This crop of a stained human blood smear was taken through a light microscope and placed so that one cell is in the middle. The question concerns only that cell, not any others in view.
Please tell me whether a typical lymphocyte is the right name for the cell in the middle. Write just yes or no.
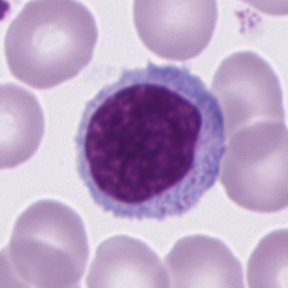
no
